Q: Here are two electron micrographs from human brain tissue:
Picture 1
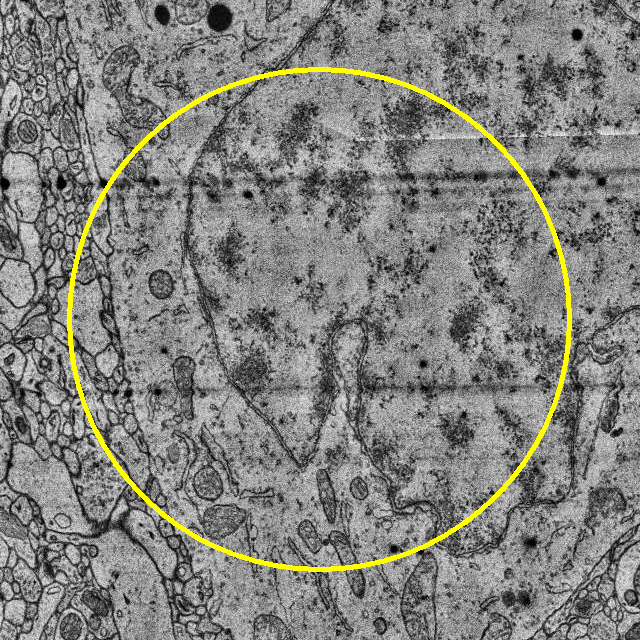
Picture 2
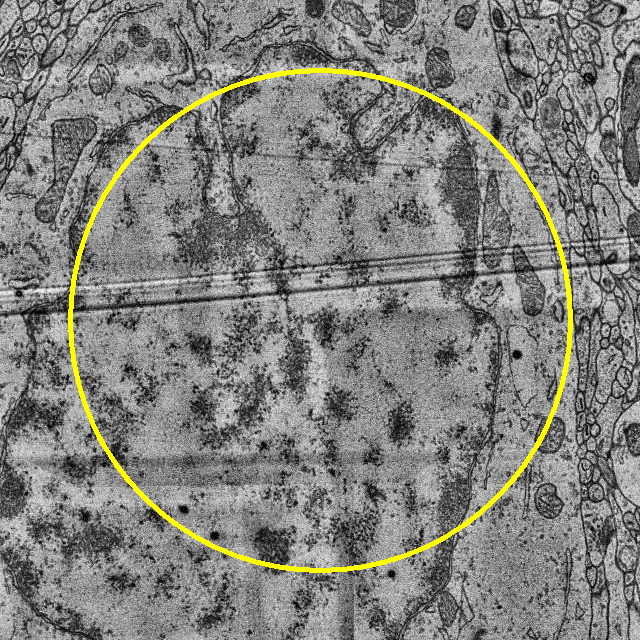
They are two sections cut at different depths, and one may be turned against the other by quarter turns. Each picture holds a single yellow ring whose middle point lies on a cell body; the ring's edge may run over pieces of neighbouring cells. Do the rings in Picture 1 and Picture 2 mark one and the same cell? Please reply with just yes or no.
yes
